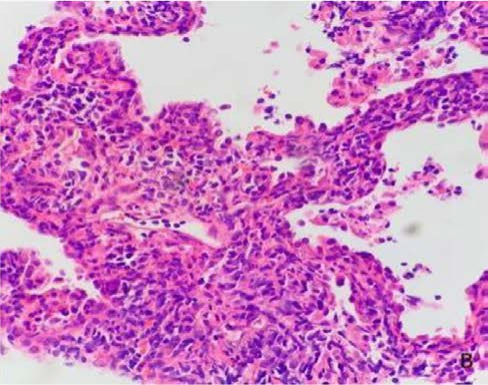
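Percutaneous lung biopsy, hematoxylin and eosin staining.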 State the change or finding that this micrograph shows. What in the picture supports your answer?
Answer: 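Polymorphic lymphocyte infiltration. Sheets of densely packed cells with dark nuclei fill the tissue. The nuclei vary in shape and size.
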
